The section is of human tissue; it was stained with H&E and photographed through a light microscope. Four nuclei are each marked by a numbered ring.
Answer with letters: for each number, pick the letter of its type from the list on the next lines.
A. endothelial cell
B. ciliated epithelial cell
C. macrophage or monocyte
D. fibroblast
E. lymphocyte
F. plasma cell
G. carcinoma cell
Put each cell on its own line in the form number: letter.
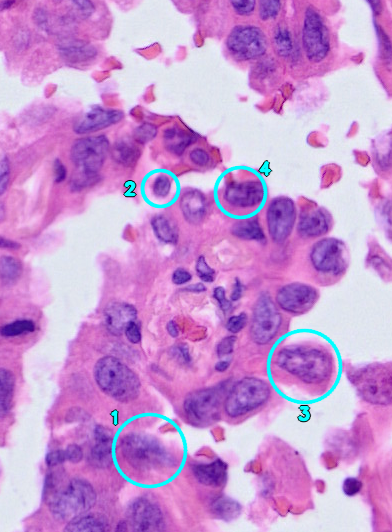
1: G
2: E
3: G
4: G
